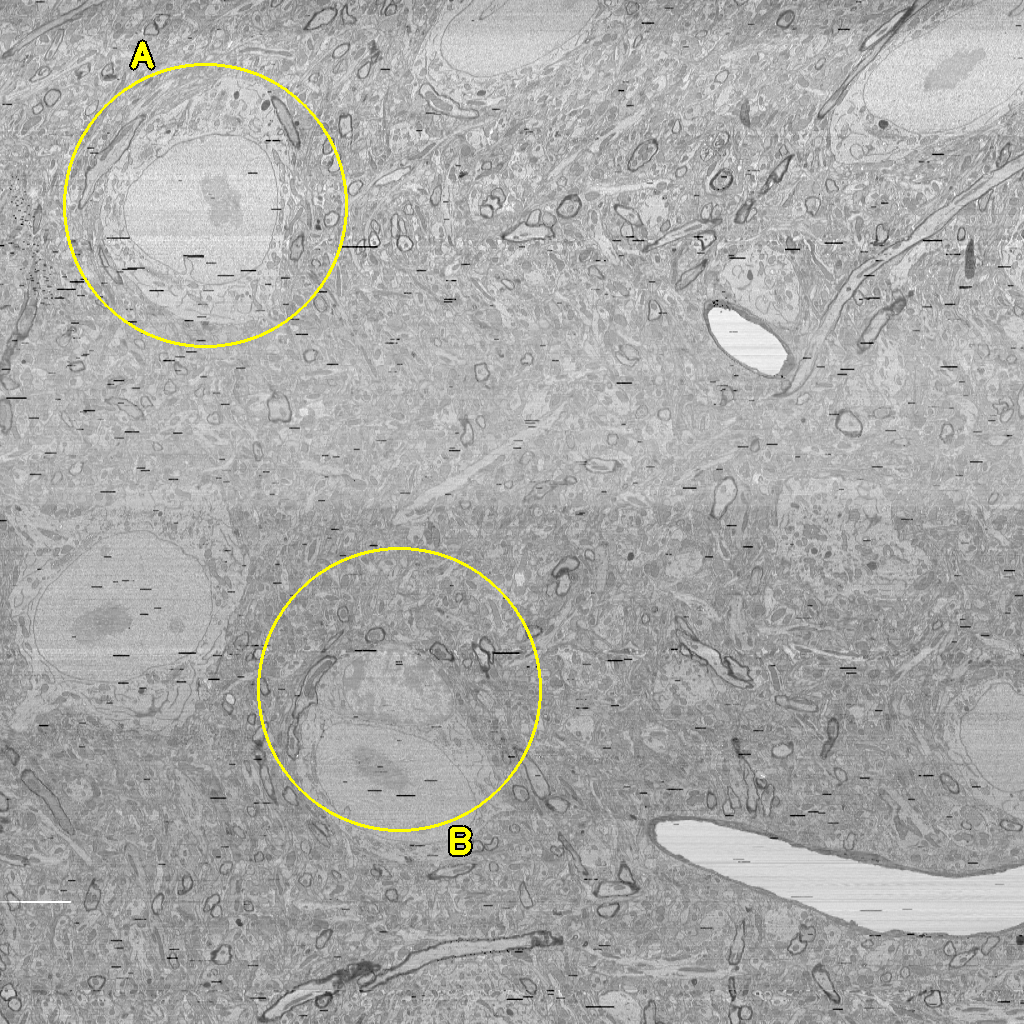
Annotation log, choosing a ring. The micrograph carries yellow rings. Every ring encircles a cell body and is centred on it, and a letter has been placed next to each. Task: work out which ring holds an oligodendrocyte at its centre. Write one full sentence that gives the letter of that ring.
In the micrograph, the ring centred on the cell asked for carries the letter B.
